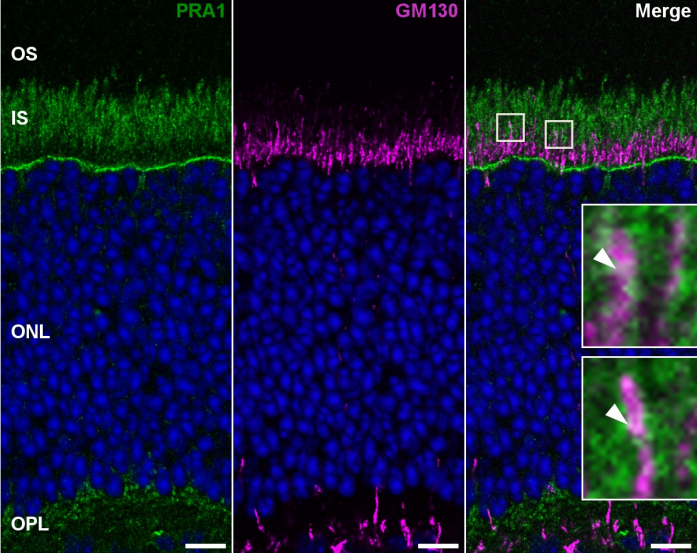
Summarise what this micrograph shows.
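A vertical section through the outer retina shows the photoreceptor layers: a dark top band, a band of fine vertically striated green label, a thin bright green line, then a thick stack of many small round blue nuclei, and at the bottom a fibrous green band. In the lower part of the striated band, short elongated magenta profiles line up side by side just above the bright green line, each oriented along the long axis of the cells. A few magenta streaks also run through the nuclear layer and into the bottom band. In the enlarged insets the magenta profiles partly overlap the green, giving whitish spots marked by arrowheads.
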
